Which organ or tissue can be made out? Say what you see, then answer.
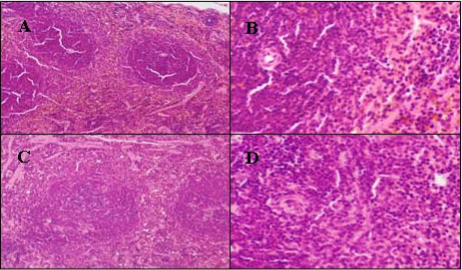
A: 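The left-hand views show rounded, densely packed, purple-staining lymphoid nodules set in looser pink tissue. Small vessels run through the dense lymphoid areas. The right-hand views show sheets of small round cells with dark nuclei next to a looser region with pink-orange red cells.
Hence: spleen.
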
